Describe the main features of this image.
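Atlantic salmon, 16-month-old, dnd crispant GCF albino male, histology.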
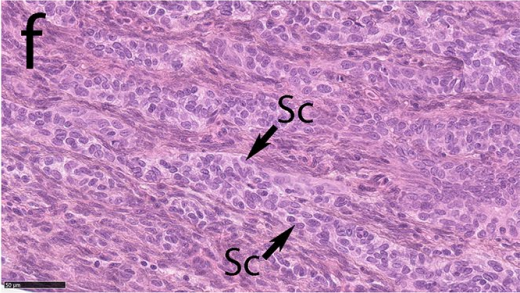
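This is testis tissue made of Sertoli cells, stained pink and purple, without the large round germ cells. The field is filled with densely packed small cells whose nuclei are dark purple, oval to elongated, with little visible cytoplasm. They are arranged in long streams and cords that run roughly in parallel across the field, separated by pale pink fibrous bands. No large round cells with pale nuclei and prominent nucleoli are seen anywhere; the tissue looks uniform, with only the small dark-nucleated cells and the pink strands between them.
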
